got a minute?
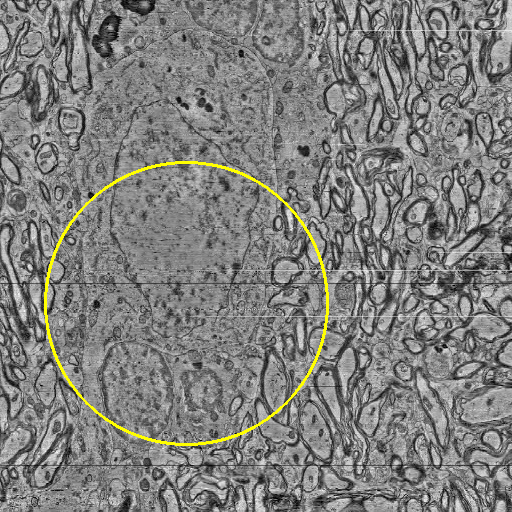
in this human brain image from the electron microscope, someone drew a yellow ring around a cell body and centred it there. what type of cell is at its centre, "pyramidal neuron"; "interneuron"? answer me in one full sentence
It's a pyramidal neuron at the middle of that yellow ring in the shot.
